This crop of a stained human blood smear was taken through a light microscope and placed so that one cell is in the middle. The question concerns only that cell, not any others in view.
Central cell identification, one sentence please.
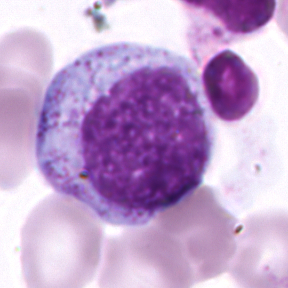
Answering briefly, the cell in the middle is a promyelocyte.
